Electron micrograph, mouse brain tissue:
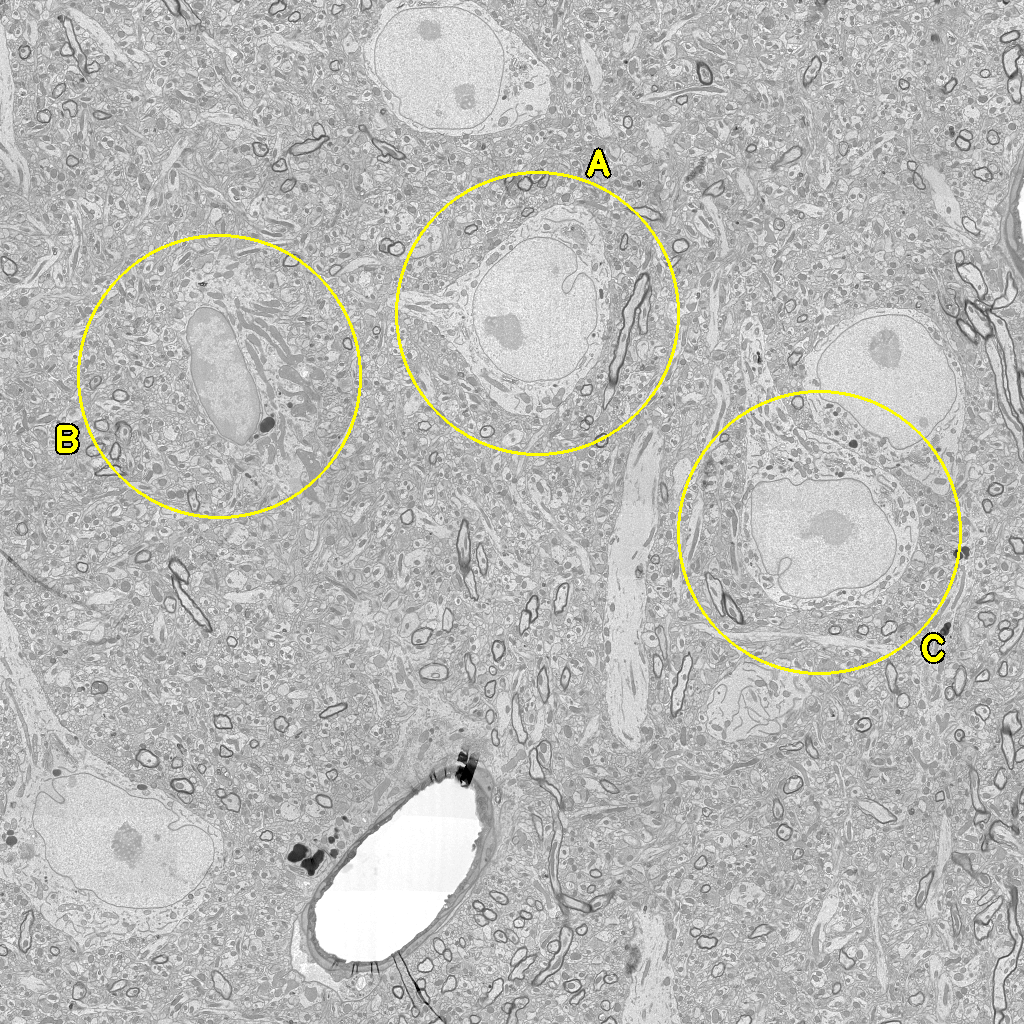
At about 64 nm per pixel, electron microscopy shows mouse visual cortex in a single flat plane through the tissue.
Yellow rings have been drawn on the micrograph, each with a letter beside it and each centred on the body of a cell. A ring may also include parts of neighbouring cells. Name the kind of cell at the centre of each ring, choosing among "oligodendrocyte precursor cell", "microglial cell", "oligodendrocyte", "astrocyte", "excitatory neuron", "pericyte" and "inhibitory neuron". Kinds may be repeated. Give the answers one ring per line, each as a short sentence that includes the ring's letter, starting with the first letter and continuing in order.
Ring A is placed on an excitatory neuron.
Ring B is placed on a microglial cell.
Ring C is placed on an inhibitory neuron.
